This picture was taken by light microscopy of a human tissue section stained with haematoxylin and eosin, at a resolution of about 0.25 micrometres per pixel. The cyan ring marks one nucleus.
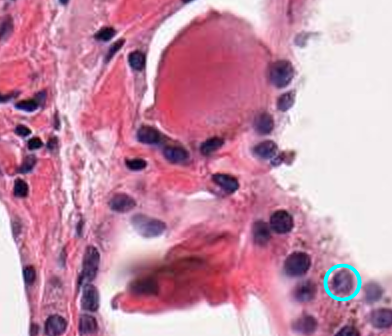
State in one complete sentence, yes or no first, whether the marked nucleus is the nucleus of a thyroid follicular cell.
Yes, the marked nucleus is found within a thyroid follicular cell.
